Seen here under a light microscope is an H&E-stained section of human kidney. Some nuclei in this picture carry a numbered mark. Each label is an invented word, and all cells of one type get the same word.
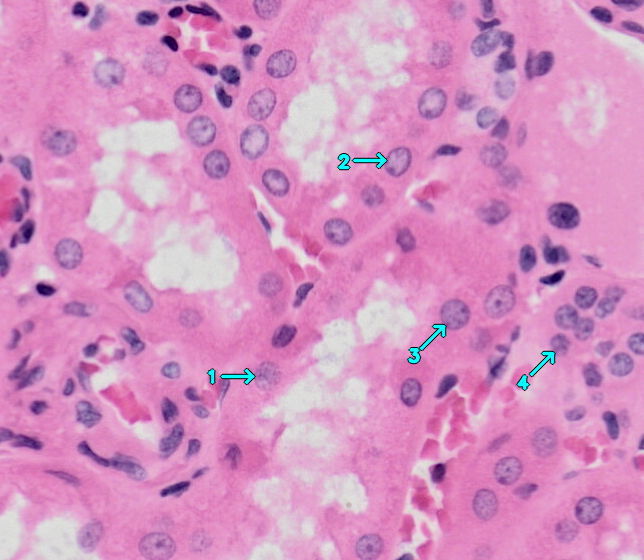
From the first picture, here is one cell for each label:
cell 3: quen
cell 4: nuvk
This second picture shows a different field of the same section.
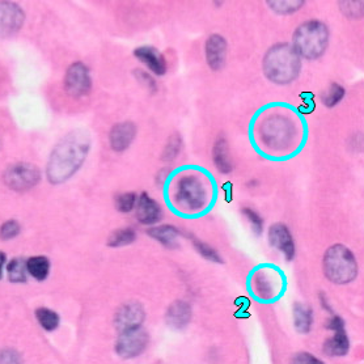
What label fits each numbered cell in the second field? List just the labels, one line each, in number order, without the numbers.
nuvk
nuvk
quen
